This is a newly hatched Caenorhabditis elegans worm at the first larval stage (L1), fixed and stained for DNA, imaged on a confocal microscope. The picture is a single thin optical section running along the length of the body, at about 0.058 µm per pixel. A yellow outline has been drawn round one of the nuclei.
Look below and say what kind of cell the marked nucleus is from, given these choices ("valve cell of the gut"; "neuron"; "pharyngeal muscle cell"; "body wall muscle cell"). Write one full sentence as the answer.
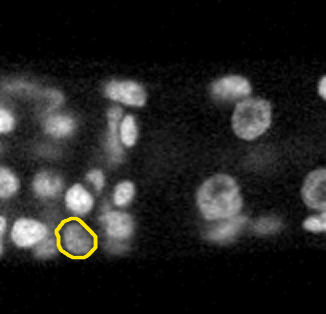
It belongs to a neuron.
